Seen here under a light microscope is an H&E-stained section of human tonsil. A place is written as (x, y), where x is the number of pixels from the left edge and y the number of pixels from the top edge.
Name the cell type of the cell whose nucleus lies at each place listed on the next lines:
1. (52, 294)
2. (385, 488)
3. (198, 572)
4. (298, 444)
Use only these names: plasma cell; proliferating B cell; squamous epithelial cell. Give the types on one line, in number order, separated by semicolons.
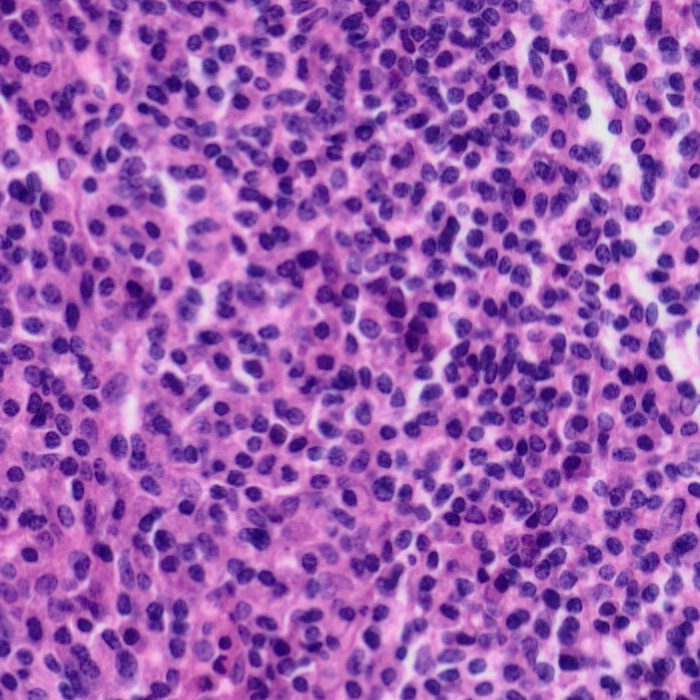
plasma cell; proliferating B cell; plasma cell; plasma cell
